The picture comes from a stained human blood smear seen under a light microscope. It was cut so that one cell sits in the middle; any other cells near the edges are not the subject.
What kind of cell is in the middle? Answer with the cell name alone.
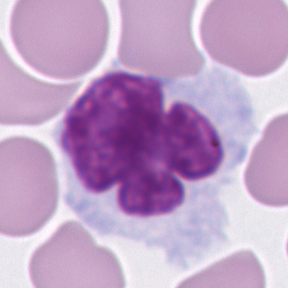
hairy cell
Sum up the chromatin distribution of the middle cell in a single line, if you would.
The chromatin is fine throughout, without coarse clumps.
